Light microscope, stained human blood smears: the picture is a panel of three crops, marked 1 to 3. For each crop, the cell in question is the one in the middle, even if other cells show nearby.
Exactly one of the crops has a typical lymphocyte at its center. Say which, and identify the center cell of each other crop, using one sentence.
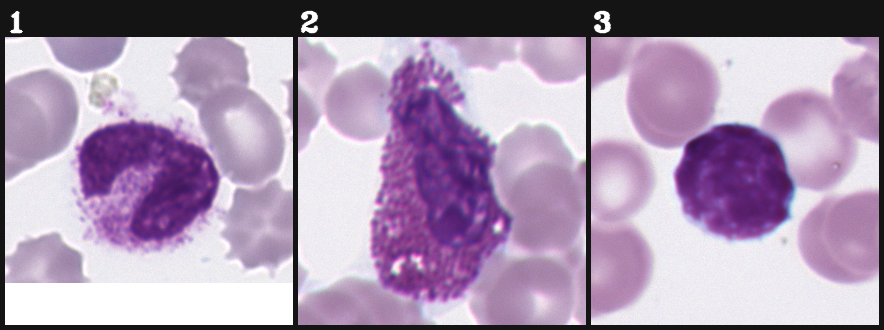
As for the set, crop 3 shows a typical lymphocyte, while crop 1 is a segmented neutrophil and crop 2 is an eosinophil.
